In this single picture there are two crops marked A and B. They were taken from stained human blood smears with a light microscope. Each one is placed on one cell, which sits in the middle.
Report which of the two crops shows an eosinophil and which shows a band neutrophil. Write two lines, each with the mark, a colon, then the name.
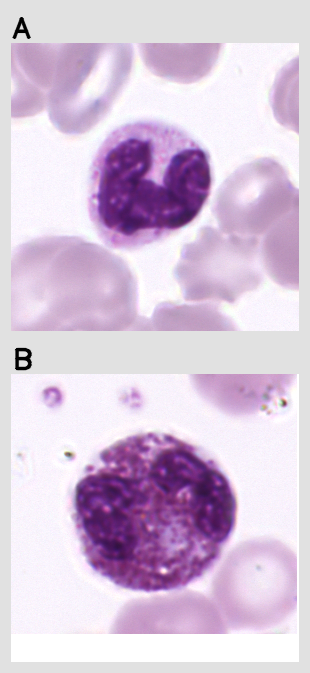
A: band neutrophil
B: eosinophil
